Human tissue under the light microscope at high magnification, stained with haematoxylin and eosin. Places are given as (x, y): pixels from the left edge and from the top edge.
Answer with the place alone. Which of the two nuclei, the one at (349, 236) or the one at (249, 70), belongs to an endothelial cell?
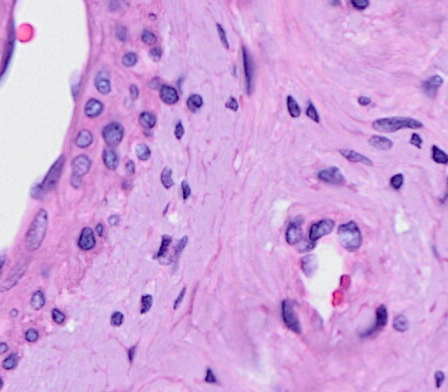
(349, 236)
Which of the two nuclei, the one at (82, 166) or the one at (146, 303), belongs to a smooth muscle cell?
(82, 166)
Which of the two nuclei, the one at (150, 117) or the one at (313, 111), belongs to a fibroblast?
(313, 111)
